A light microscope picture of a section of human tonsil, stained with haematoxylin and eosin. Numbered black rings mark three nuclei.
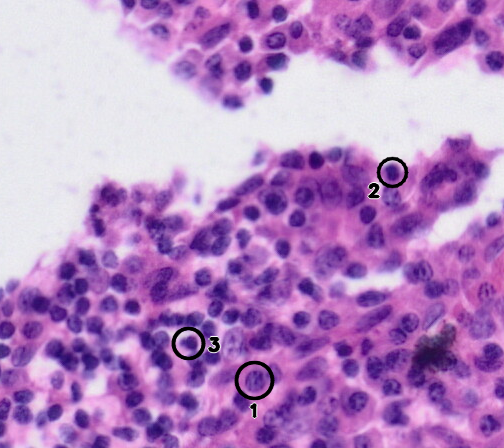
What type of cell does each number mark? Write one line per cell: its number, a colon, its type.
1: plasma cell
2: plasma cell
3: small lymphocyte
